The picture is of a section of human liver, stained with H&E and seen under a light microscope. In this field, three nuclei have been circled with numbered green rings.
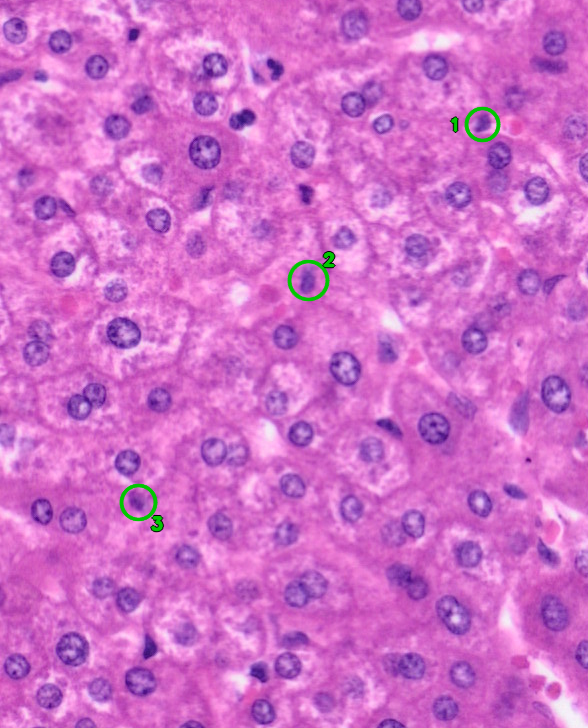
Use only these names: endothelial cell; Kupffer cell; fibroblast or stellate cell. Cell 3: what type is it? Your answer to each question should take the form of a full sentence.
The cell pointed out as number 3 is an endothelial cell.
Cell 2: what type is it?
The marked cell bearing number 2 is a fibroblast or stellate cell.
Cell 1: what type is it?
Identified by the number 1, the cell is an endothelial cell.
